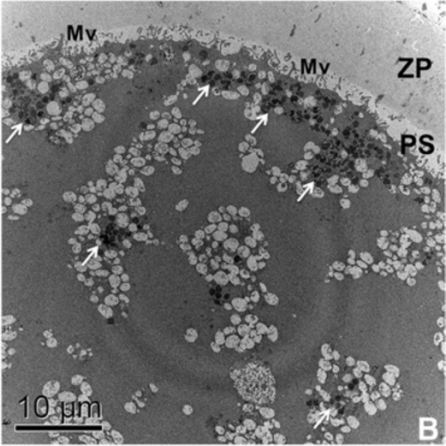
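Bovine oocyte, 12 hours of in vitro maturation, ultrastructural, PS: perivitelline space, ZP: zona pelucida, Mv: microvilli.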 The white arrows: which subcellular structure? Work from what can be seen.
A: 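Mitochondria. Small dark round organelles lie in clusters among pale vesicles. Many clusters lie near the cell surface.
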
